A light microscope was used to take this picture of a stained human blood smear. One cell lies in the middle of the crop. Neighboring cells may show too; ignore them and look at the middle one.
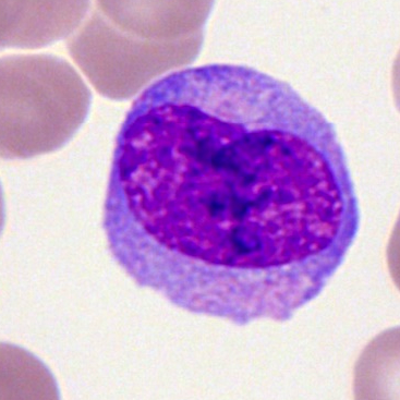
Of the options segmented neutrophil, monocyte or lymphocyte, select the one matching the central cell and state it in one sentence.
Here the cell in the middle is a monocyte.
